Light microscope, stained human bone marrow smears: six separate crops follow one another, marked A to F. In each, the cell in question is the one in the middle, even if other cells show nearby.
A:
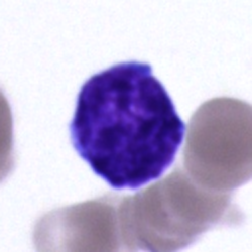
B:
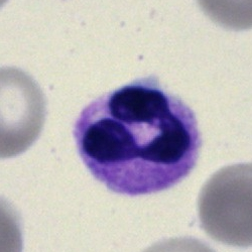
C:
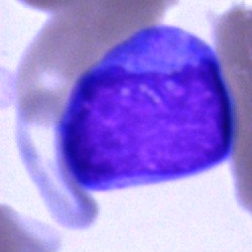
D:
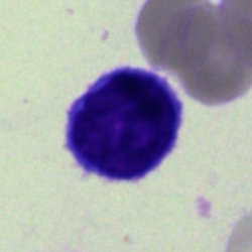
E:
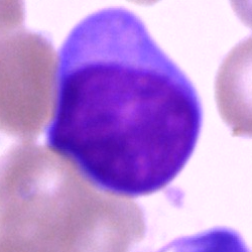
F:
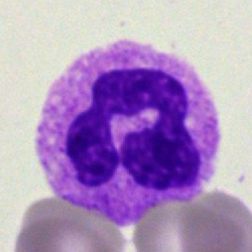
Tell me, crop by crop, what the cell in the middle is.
A: blast
B: segmented neutrophil
C: blast
D: lymphocyte
E: blast
F: segmented neutrophil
